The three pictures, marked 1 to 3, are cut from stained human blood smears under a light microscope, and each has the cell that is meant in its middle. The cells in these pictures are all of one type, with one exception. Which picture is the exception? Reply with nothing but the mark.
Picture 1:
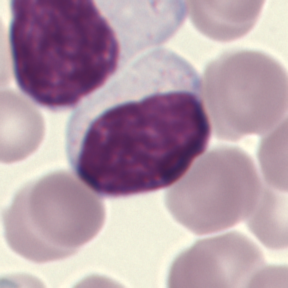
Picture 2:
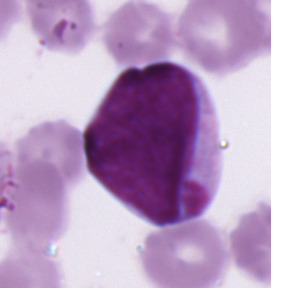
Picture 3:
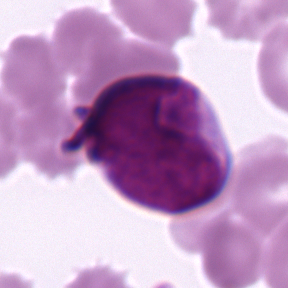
1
